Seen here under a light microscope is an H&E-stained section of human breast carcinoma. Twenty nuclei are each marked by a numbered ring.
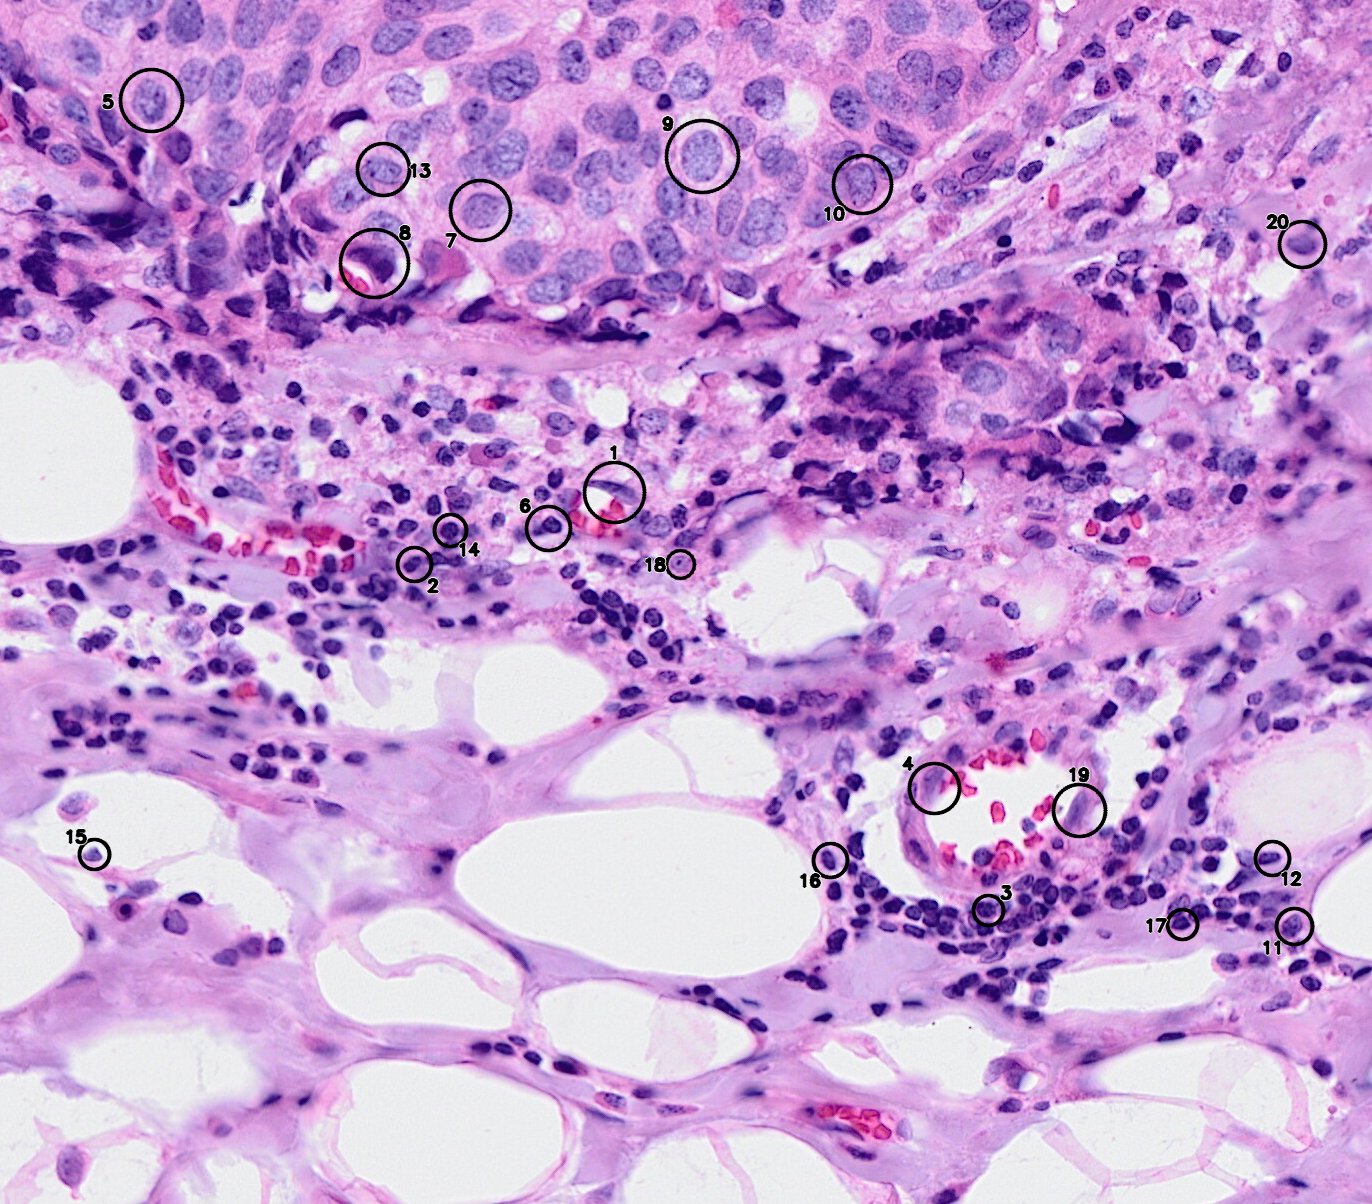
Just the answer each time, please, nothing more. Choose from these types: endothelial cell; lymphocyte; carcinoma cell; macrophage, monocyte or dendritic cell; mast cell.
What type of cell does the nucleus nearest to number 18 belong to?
macrophage, monocyte or dendritic cell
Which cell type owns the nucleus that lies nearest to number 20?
lymphocyte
